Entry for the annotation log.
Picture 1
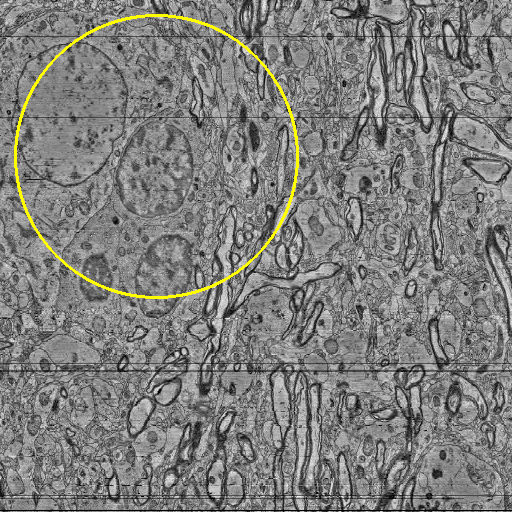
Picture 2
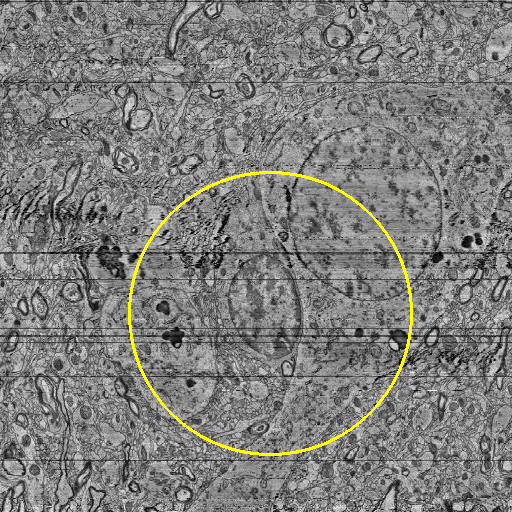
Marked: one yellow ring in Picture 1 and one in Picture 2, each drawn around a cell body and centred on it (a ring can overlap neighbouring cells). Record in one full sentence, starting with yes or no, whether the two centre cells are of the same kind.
Yes, both cells are of the same kind.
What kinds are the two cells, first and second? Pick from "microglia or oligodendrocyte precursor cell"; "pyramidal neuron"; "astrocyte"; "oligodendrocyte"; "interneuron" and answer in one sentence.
In the first picture and in the second, the ring is centred on an oligodendrocyte.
